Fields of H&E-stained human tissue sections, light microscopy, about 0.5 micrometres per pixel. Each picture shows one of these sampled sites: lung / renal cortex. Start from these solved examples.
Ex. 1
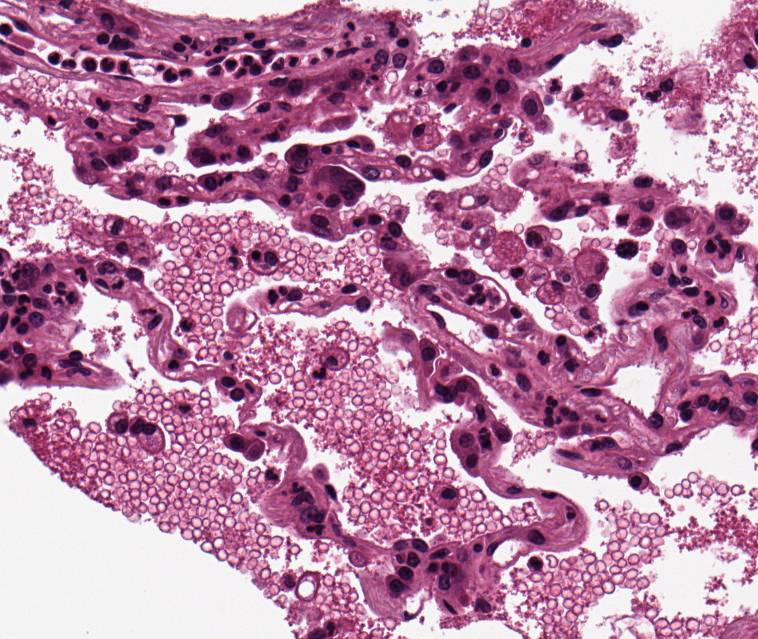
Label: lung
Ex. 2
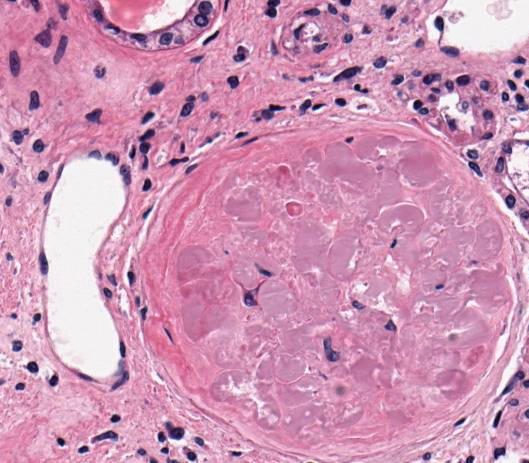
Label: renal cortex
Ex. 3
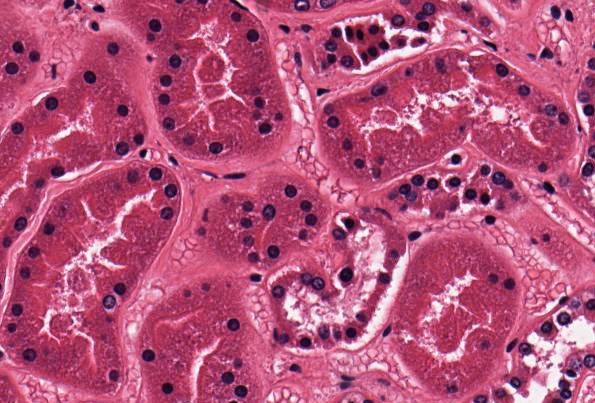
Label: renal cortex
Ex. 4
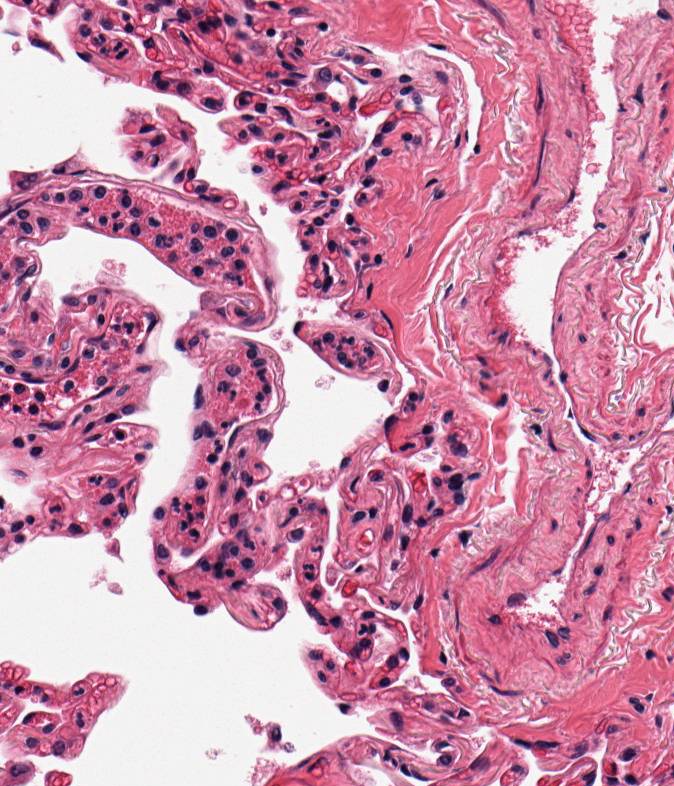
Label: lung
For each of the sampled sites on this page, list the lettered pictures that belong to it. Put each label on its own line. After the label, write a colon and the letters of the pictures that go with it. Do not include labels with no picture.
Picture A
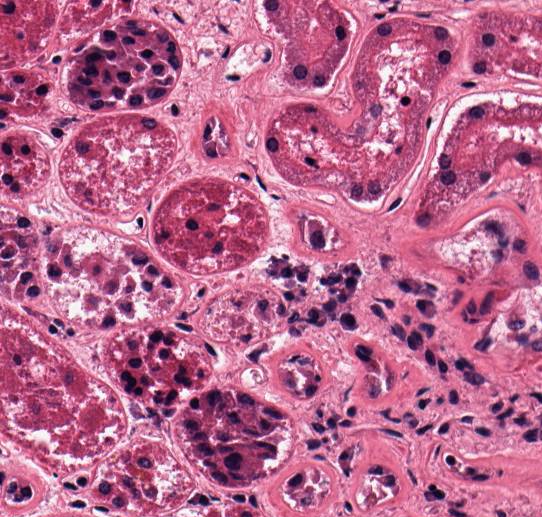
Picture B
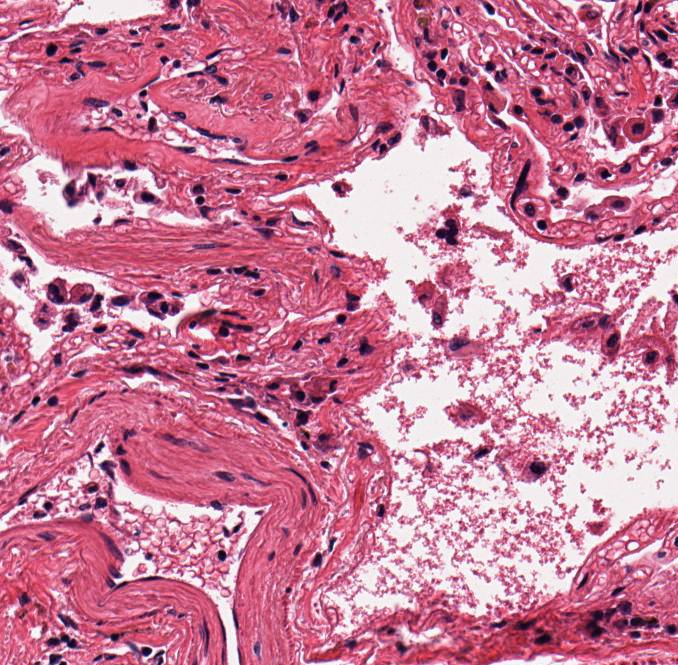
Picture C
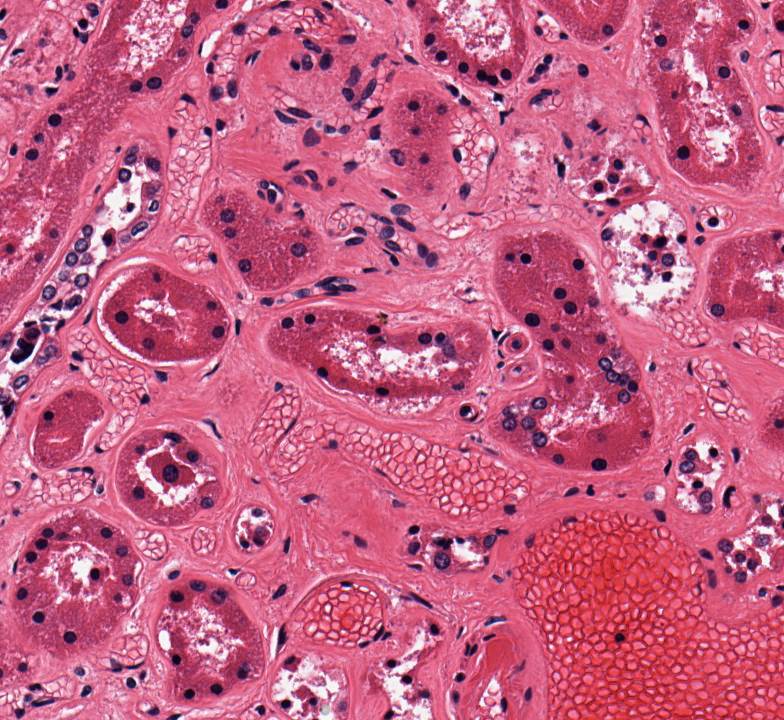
lung: B
renal cortex: A, C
